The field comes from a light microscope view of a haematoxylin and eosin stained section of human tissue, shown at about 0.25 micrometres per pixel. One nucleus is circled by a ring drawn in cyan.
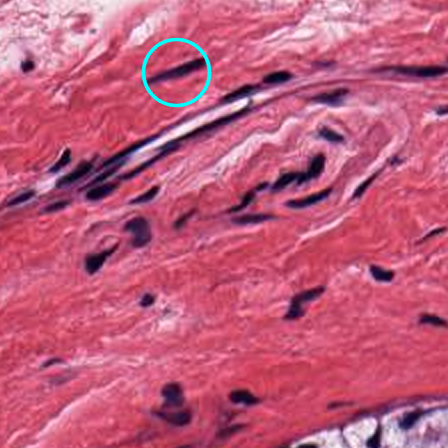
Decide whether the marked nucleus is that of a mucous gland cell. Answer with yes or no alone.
no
